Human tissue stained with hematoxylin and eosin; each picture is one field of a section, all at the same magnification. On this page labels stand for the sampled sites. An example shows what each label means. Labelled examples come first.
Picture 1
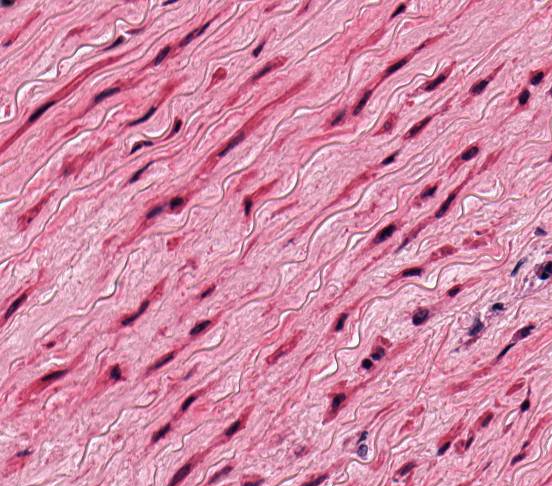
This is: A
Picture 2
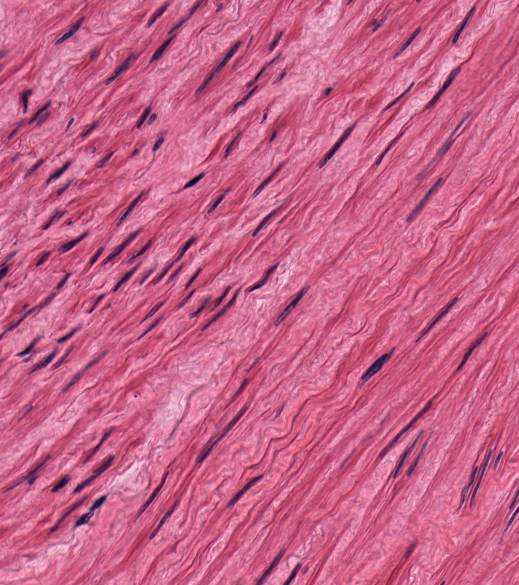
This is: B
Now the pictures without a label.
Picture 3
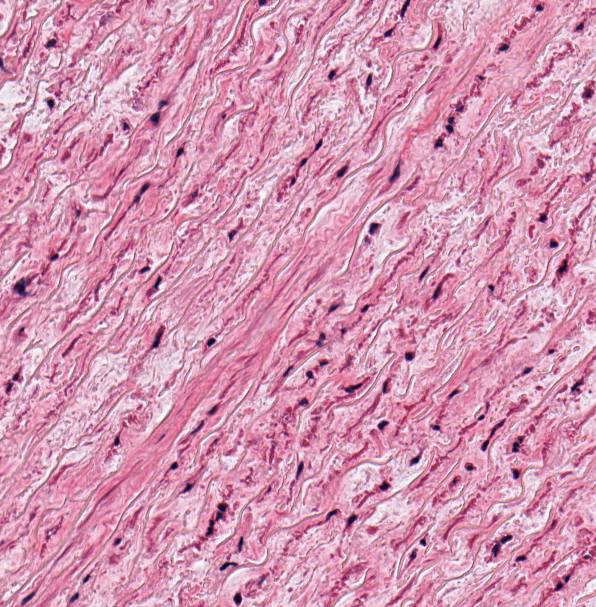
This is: A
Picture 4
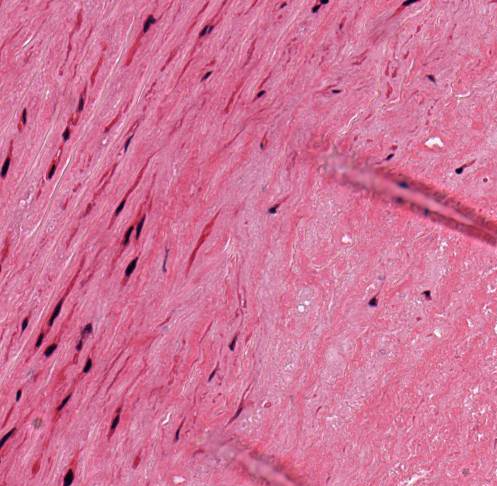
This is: A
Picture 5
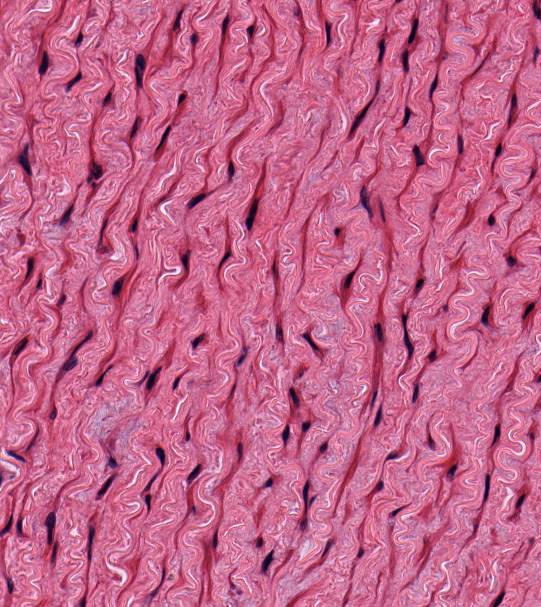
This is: A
